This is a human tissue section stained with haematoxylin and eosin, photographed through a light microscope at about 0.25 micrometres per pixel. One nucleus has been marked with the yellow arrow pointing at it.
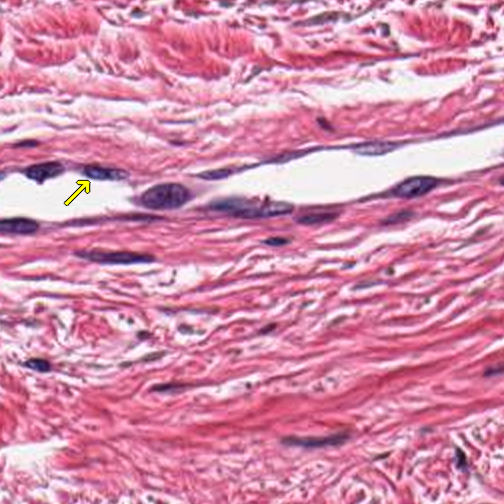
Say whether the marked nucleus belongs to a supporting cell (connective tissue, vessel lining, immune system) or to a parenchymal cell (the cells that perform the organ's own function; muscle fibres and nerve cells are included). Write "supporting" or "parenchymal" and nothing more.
supporting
